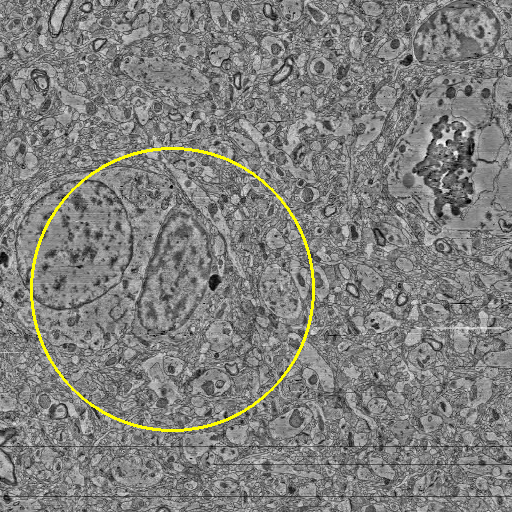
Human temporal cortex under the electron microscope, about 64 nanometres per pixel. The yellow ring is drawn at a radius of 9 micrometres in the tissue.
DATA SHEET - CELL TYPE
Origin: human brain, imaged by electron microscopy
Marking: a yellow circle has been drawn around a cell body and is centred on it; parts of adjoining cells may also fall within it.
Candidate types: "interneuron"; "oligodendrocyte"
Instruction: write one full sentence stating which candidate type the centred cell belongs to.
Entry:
The cell body at the centre of the yellow ring in this micrograph belongs to an oligodendrocyte.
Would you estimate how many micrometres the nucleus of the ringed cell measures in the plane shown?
In this plane, the nucleus is roughly 8 by 4 micrometres.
